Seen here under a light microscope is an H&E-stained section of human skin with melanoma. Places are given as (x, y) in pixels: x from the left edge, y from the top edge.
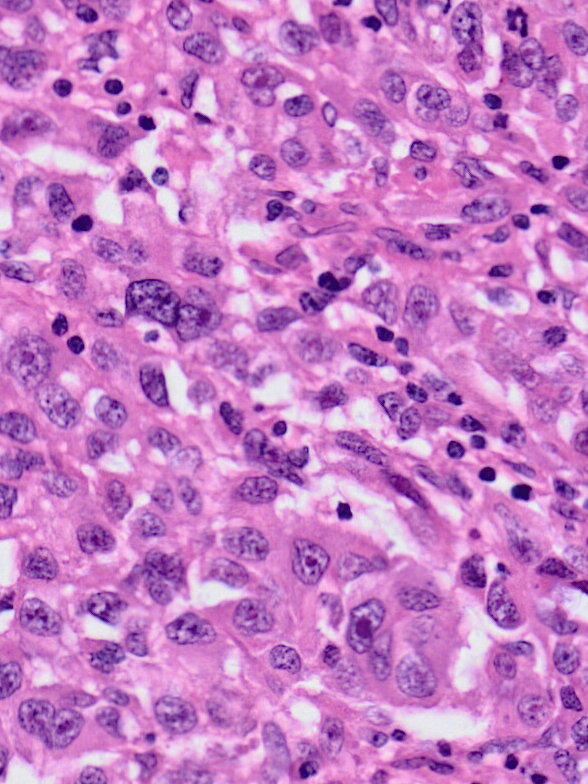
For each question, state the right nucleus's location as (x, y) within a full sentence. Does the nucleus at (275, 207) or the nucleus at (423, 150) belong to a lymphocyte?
Of the two nuclei, the nucleus of a lymphocyte is at (275, 207).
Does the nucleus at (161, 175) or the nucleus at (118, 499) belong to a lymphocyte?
At (161, 175) lies the nucleus that belongs to a lymphocyte.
